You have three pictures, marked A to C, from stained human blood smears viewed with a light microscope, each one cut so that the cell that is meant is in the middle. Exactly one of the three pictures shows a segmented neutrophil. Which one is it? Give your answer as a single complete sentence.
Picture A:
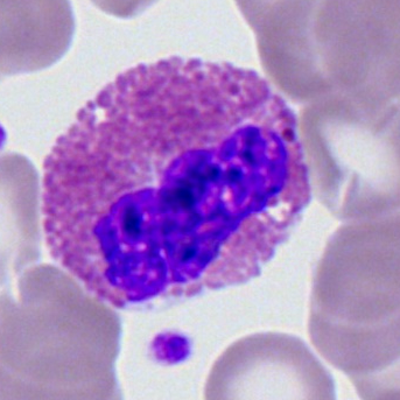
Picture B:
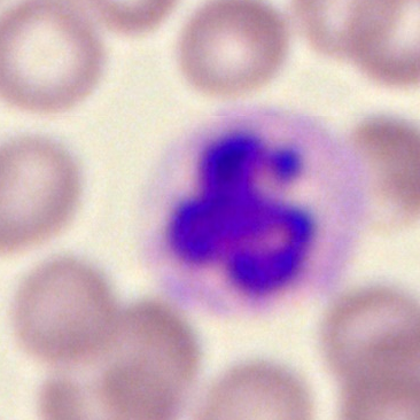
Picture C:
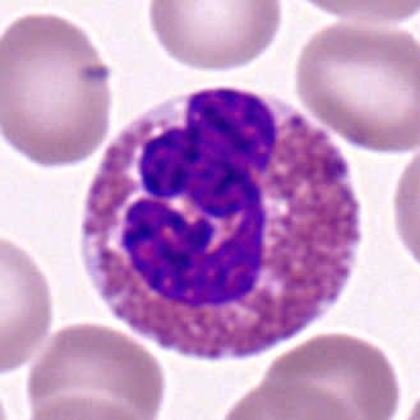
Picture B is the one that shows the segmented neutrophil.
